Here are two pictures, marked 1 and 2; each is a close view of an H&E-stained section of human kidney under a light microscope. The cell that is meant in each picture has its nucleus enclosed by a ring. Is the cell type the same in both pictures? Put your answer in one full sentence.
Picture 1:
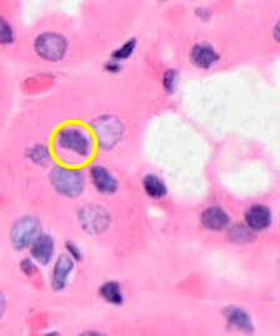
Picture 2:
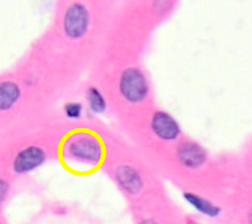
Yes, the two pictures both show “loop of Henle or distal tubule cells”.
